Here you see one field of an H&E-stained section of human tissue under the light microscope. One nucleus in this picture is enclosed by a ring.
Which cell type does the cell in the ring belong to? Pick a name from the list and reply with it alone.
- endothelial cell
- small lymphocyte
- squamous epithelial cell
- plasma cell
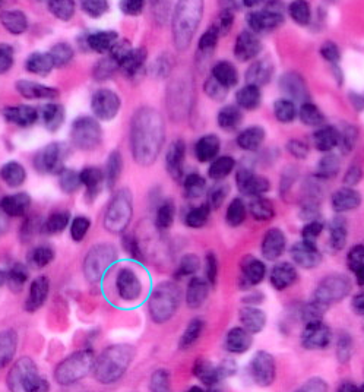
endothelial cell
